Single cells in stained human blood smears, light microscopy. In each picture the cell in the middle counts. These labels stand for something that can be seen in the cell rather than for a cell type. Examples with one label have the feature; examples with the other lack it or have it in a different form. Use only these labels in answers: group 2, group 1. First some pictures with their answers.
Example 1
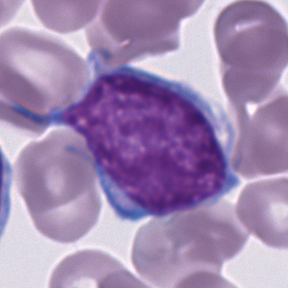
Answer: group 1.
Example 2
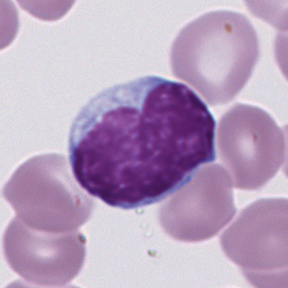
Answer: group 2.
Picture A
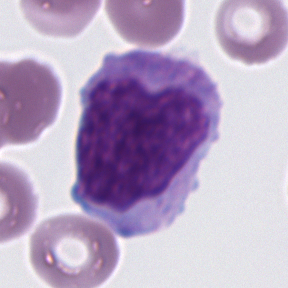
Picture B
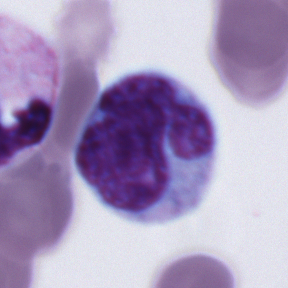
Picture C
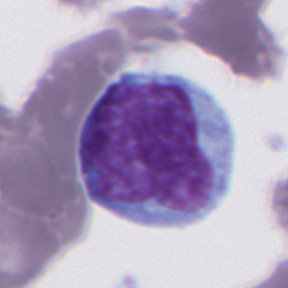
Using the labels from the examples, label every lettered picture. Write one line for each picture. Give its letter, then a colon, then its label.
A: group 1.
B: group 2.
C: group 2.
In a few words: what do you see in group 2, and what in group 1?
Seen in group 2: smooth outline; seen in group 1: ragged outline or projections.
